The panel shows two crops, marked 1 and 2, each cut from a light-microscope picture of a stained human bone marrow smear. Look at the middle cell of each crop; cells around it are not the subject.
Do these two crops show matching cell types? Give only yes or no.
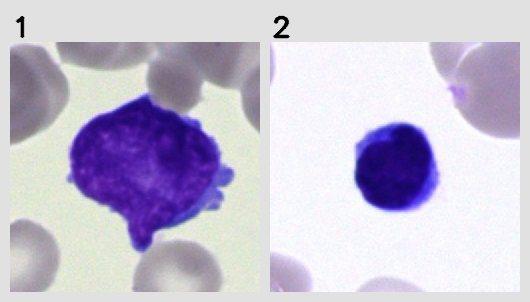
no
